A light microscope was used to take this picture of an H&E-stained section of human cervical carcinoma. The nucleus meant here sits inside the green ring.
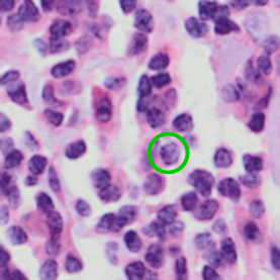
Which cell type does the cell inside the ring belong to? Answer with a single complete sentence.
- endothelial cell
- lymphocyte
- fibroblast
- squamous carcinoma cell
It is as a lymphocyte that the cell inside the ring is recorded.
